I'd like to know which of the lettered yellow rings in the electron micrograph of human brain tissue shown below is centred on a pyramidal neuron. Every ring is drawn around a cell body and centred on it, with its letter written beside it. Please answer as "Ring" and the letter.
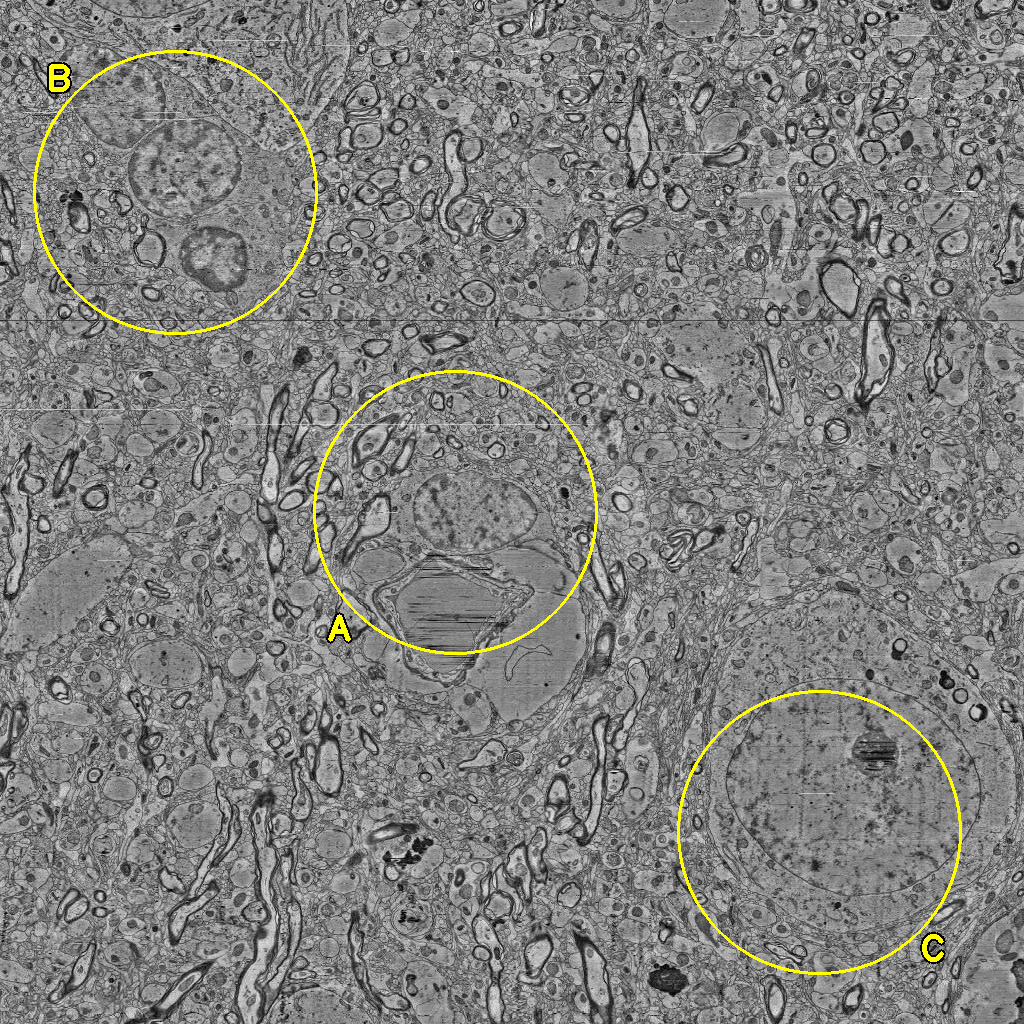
Ring C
